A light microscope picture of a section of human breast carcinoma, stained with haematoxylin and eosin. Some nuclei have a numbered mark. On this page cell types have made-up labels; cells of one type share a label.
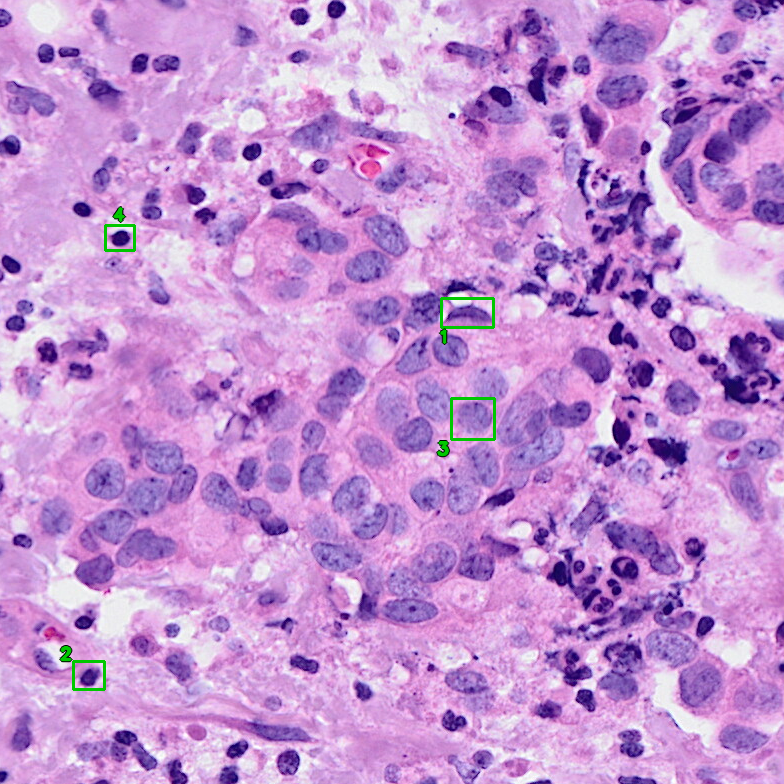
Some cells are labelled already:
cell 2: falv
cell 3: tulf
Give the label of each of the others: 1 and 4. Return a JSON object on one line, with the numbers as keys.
{"1": "tulf", "4": "falv"}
